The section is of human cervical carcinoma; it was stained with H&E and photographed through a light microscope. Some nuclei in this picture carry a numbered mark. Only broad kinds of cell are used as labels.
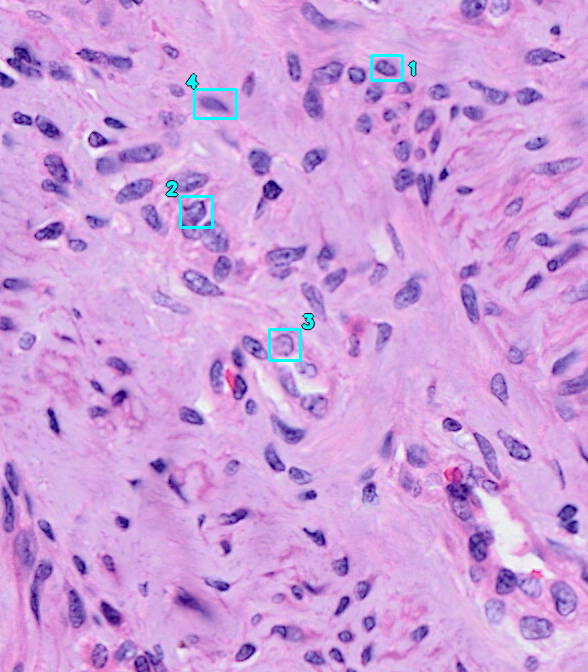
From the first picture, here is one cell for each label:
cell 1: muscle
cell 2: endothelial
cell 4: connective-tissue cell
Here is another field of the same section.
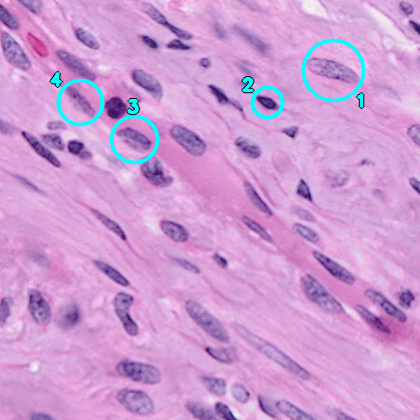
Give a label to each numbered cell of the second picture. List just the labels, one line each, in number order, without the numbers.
muscle
connective-tissue cell
endothelial
endothelial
